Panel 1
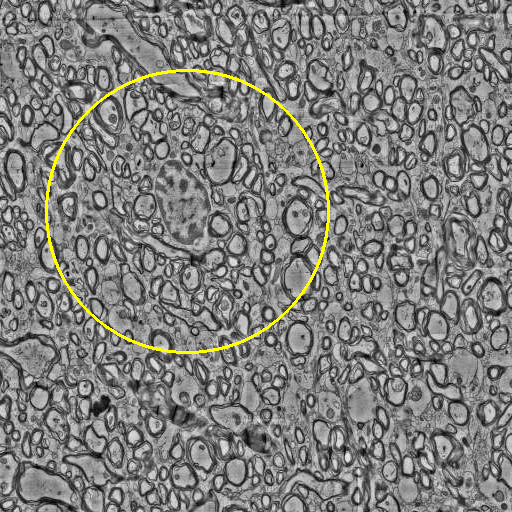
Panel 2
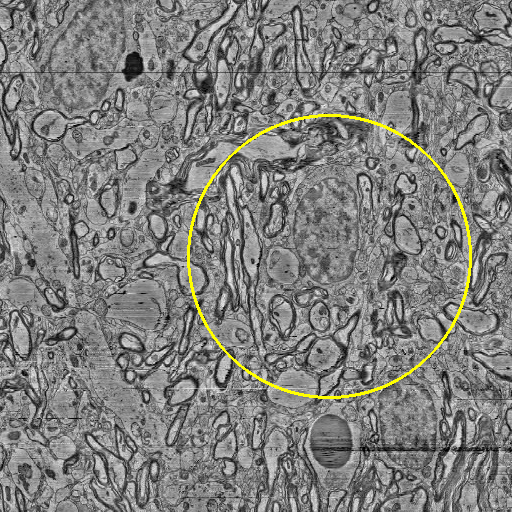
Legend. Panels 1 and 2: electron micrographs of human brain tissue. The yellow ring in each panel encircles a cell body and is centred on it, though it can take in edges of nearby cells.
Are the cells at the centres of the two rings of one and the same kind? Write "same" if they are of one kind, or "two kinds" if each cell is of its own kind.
two kinds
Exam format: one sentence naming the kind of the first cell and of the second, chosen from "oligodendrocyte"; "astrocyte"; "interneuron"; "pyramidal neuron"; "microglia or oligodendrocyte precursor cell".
The first picture's cell is a microglial cell or oligodendrocyte precursor cell, and the second picture's cell is an oligodendrocyte.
